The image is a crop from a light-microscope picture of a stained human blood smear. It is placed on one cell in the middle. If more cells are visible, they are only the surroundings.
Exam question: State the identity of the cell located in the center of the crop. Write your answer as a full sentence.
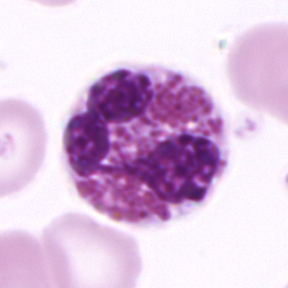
In short, the cell at the center is an eosinophil.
